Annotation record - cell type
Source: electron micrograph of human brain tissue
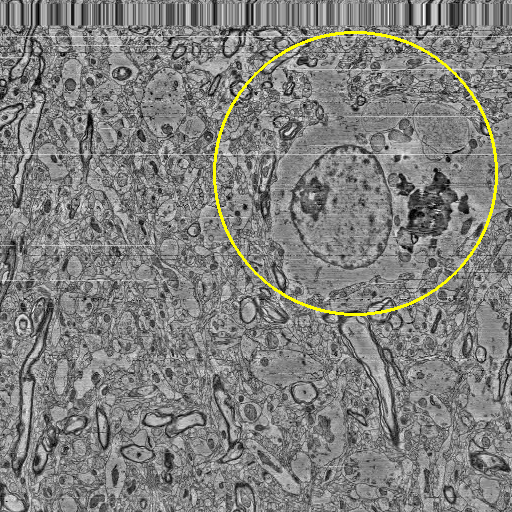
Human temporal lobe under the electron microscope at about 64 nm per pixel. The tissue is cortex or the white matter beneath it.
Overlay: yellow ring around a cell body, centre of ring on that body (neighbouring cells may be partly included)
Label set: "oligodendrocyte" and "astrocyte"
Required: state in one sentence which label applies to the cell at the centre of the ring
This cell should be labelled as an astrocyte.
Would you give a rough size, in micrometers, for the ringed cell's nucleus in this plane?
About 8 by 6 micrometres in this plane.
